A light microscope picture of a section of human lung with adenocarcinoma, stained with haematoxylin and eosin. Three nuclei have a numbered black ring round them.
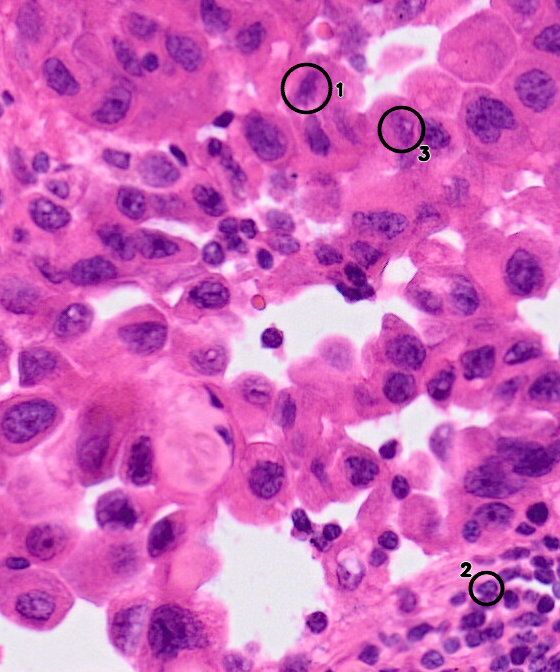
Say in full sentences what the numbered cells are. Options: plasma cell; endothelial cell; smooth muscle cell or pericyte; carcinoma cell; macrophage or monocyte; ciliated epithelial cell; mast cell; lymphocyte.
Cells 1 and 3 are carcinoma cells. Cell 2 is a lymphocyte.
